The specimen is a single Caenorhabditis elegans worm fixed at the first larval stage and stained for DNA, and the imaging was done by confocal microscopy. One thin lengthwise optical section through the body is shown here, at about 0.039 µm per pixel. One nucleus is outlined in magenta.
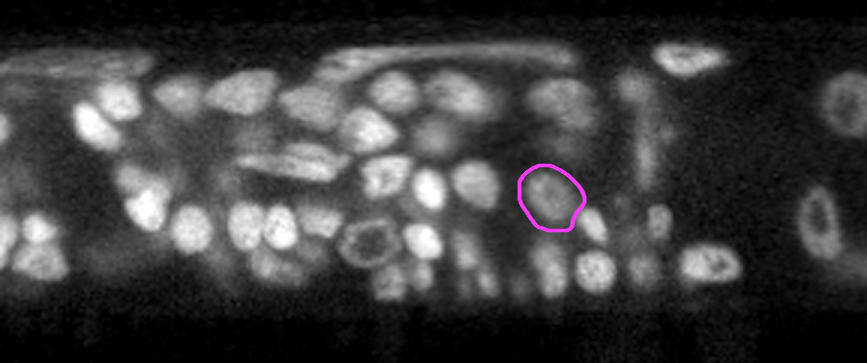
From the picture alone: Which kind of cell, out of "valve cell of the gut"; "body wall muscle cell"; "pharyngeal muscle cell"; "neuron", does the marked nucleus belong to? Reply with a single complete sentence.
The marked nucleus belongs to a pharyngeal muscle cell.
